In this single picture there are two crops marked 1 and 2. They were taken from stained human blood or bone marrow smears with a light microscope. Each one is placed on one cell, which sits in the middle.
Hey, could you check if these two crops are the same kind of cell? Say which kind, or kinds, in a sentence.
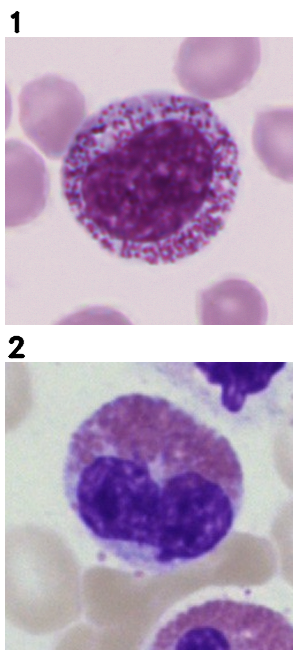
No, a myelocyte lies at the centre of crop 1, and an eosinophil lies at the centre of crop 2.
